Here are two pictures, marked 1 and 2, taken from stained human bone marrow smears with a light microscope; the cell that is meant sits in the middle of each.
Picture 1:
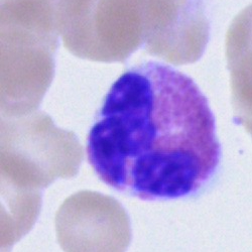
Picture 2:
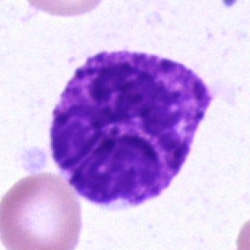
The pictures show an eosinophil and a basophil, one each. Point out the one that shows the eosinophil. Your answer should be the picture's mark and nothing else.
1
